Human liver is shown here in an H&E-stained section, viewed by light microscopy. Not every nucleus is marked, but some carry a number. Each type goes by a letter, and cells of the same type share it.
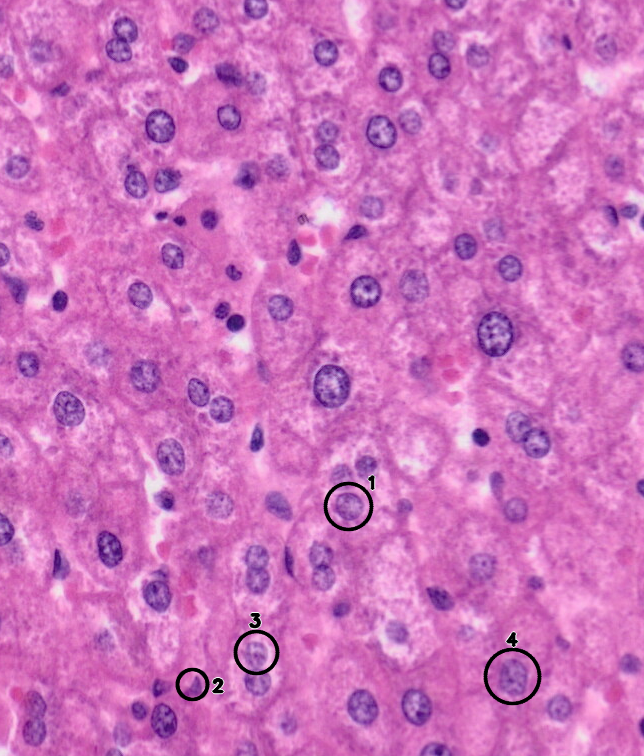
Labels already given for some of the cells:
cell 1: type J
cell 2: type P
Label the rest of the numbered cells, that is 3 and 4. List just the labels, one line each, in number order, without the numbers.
type J
type J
